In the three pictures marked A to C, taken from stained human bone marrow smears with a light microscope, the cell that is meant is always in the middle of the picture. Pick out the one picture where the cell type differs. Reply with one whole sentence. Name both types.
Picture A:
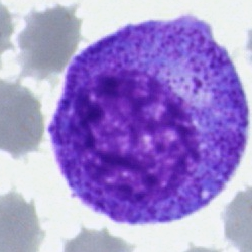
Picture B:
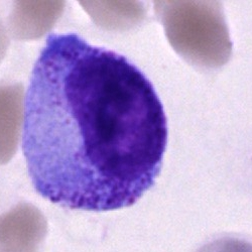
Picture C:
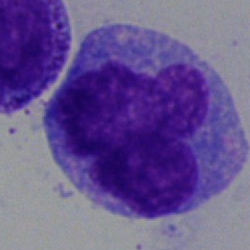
Picture C differs, because its cell is a monocyte and the rest are promyelocytes.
